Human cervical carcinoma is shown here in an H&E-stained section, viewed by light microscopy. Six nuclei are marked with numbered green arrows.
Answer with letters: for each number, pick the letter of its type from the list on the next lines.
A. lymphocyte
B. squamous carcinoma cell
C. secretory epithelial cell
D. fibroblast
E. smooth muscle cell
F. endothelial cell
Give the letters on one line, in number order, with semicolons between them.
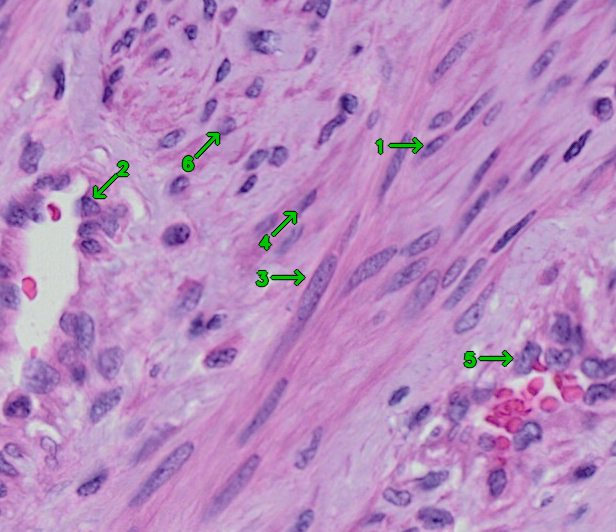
E; F; E; E; F; E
